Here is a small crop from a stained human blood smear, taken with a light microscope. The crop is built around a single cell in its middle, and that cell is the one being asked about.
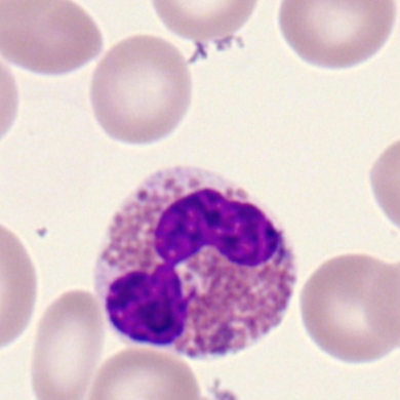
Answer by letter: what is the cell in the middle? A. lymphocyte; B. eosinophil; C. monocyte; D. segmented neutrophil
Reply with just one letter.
B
